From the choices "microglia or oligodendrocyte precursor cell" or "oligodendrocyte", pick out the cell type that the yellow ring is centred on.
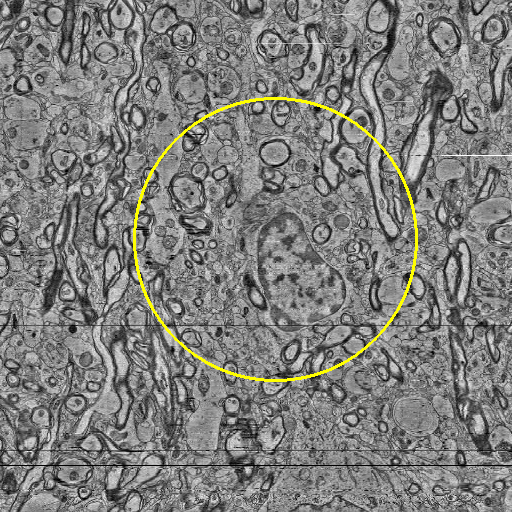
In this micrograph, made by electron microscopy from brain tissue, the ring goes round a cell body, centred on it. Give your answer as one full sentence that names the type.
The yellow ring is centred on a microglial cell or oligodendrocyte precursor cell, whose cell body it encircles in the picture.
